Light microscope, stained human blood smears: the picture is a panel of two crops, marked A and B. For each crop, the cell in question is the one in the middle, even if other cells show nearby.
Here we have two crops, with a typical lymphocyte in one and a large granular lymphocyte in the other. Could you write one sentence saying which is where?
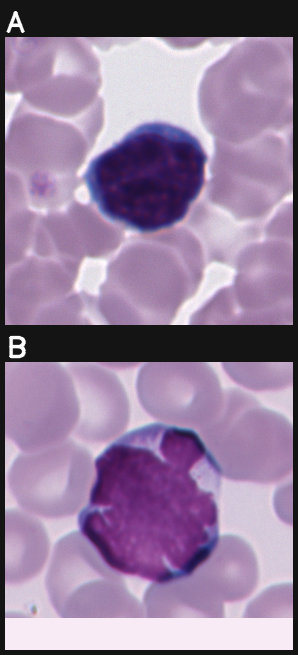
Taken crop by crop, crop A is a typical lymphocyte and crop B is a large granular lymphocyte.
